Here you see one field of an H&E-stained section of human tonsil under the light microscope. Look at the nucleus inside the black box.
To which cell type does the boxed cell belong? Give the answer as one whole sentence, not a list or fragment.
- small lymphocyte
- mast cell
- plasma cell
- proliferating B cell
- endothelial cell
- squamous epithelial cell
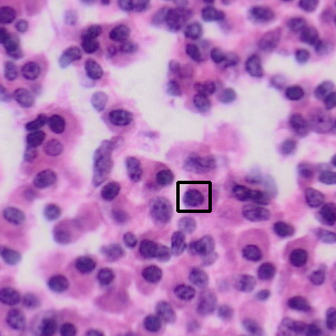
At the level of cell identity, the boxed cell is a plasma cell.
